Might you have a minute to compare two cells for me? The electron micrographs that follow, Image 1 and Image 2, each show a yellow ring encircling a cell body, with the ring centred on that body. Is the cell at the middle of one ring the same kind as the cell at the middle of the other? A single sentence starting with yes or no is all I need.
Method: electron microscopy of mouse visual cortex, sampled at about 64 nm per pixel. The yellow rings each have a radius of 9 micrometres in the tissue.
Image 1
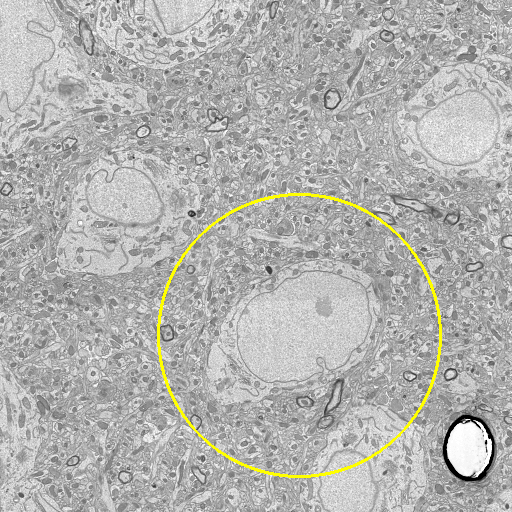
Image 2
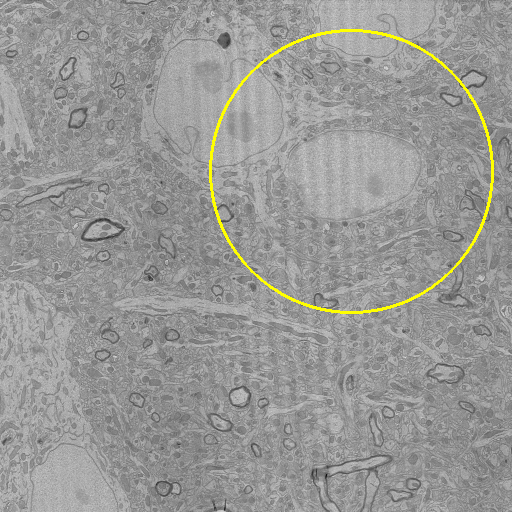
No, the cells in the middle of the two rings are of two separate kinds.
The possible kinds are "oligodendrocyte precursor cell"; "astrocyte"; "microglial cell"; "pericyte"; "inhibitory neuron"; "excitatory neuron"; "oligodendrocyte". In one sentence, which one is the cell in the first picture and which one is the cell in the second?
The cell ringed in the second picture is an astrocyte, whereas the one ringed in the first is an excitatory neuron.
